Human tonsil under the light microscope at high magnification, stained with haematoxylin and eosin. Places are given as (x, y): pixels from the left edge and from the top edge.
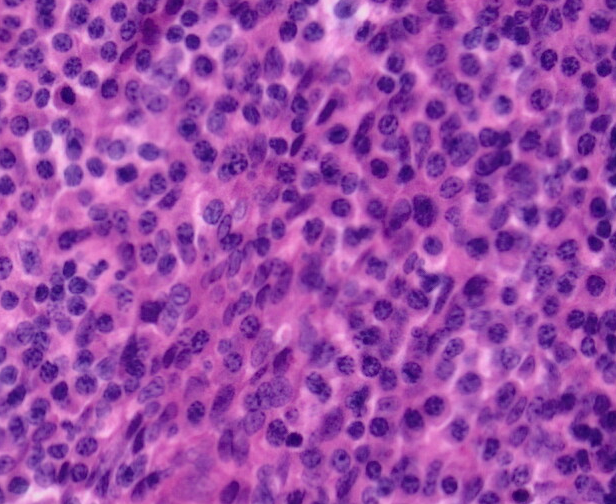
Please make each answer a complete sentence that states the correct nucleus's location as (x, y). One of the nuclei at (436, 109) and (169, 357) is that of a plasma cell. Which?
Out of the two, it is the nucleus at (436, 109) that belongs to a plasma cell.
